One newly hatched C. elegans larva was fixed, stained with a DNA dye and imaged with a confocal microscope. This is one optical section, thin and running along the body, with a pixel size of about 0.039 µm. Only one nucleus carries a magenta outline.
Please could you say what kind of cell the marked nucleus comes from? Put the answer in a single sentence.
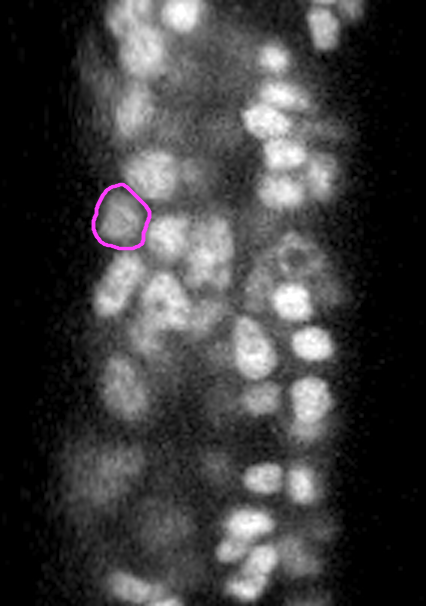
This nucleus is from a body wall muscle cell.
